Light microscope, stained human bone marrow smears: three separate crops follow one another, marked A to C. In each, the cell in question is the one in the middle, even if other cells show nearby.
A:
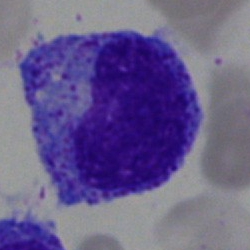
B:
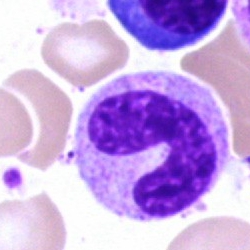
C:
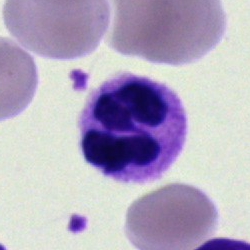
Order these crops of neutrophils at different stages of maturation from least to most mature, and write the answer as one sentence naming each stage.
Ranked in ascending maturity, the crops are crop A (a promyelocyte), crop B (a band neutrophil) and crop C (a segmented neutrophil).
